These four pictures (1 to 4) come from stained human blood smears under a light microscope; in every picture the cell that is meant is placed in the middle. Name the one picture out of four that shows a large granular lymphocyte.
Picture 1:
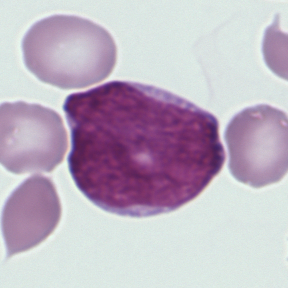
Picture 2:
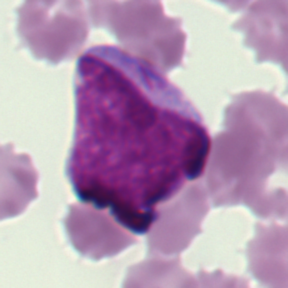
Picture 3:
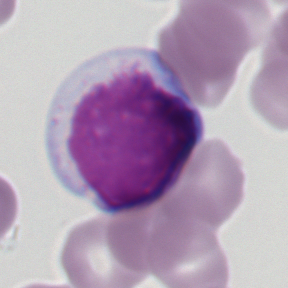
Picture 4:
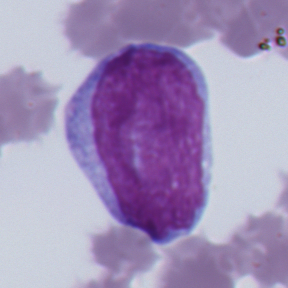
3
